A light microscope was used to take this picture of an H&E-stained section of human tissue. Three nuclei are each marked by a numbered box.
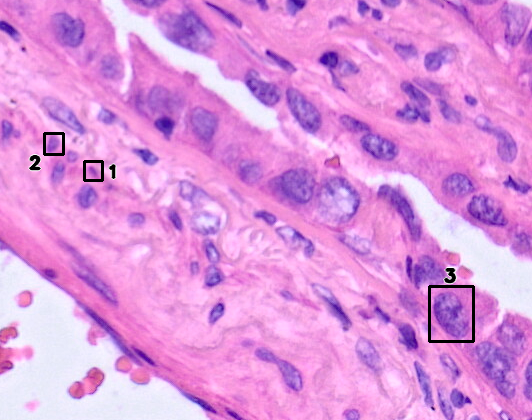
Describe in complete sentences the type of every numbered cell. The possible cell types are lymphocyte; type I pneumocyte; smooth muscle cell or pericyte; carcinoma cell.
Cells 1 and 2 are smooth muscle cells or pericytes. Cell 3 is a carcinoma cell.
